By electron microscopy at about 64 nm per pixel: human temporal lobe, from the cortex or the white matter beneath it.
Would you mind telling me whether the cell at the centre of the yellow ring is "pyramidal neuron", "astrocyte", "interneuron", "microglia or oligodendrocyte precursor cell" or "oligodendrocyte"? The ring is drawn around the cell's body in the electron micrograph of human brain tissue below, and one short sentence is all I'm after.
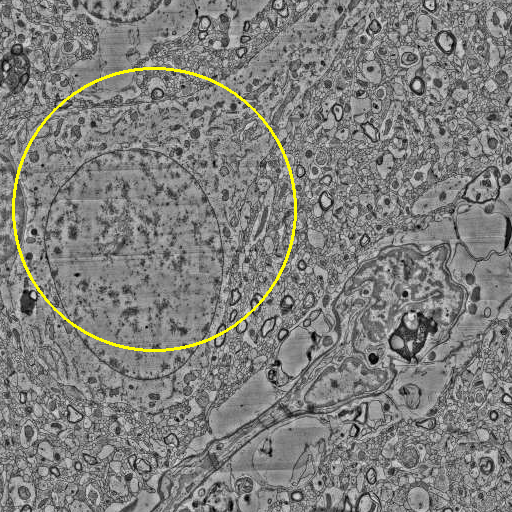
In the centre of the ring lies a pyramidal neuron.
